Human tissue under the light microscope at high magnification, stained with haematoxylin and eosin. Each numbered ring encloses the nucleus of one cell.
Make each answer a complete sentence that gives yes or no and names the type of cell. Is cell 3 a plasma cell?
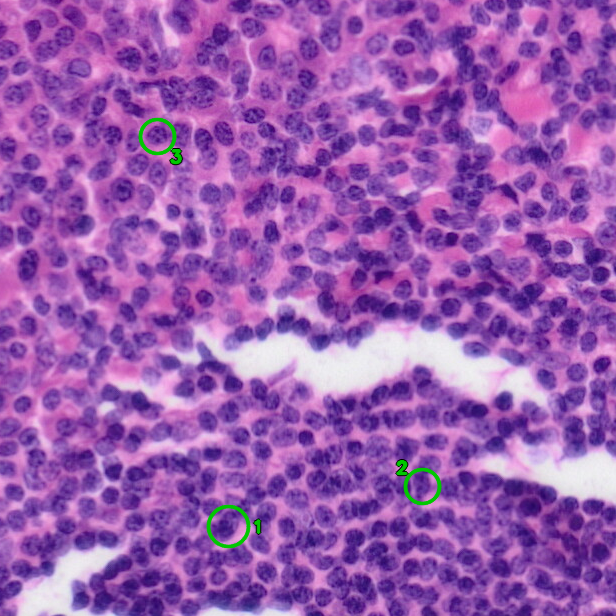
Yes, the cell carrying number 3 is a plasma cell.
